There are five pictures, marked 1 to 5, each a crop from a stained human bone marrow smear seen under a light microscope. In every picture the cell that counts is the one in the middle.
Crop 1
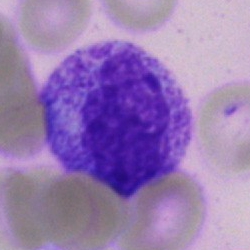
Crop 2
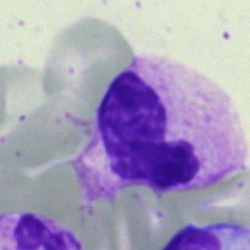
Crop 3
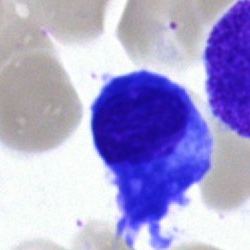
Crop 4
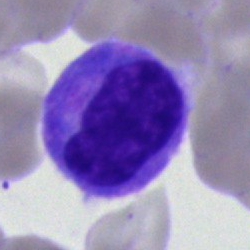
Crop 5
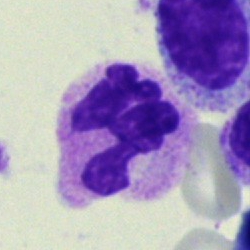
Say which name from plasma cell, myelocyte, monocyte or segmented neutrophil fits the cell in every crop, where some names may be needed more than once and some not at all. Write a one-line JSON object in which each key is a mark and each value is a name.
{"1": "myelocyte", "2": "segmented neutrophil", "3": "plasma cell", "4": "monocyte", "5": "segmented neutrophil"}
